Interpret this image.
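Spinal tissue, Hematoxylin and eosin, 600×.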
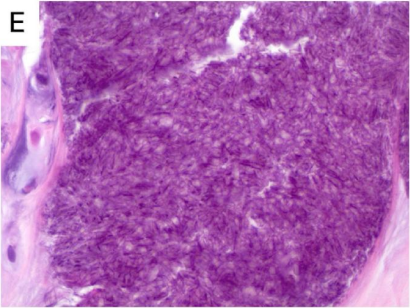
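A large, well-formed purple aggregate of crystalline material sits within pink fibrous connective tissue. The aggregate has a smooth, rounded edge and a finely granular, feathery texture made of countless short, angular particles, with a few thin clefts. At its left border lie pale pink fibrous tissue and a few cells with oval nuclei.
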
